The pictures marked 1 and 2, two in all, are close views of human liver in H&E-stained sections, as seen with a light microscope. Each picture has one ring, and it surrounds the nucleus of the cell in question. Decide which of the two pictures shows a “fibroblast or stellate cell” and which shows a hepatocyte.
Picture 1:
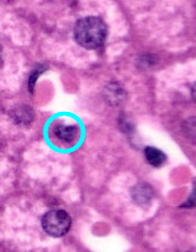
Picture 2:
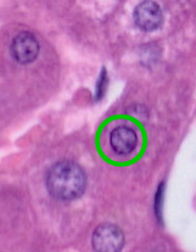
1: fibroblast or stellate cell
2: hepatocyte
